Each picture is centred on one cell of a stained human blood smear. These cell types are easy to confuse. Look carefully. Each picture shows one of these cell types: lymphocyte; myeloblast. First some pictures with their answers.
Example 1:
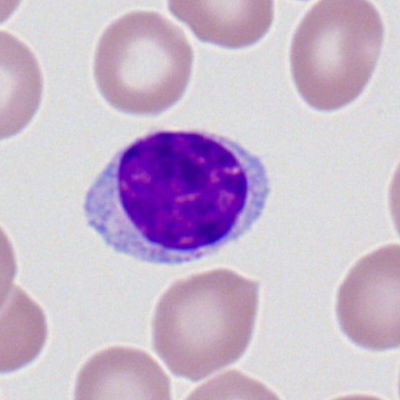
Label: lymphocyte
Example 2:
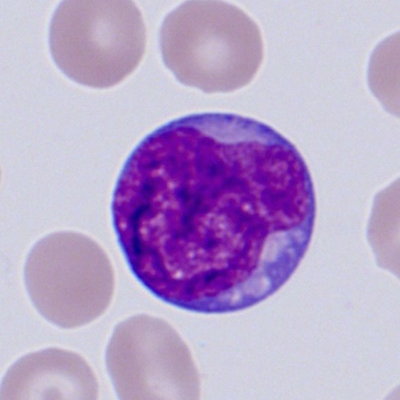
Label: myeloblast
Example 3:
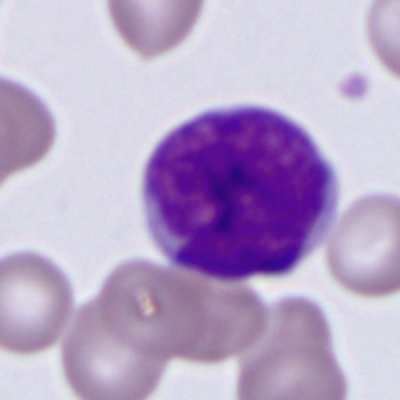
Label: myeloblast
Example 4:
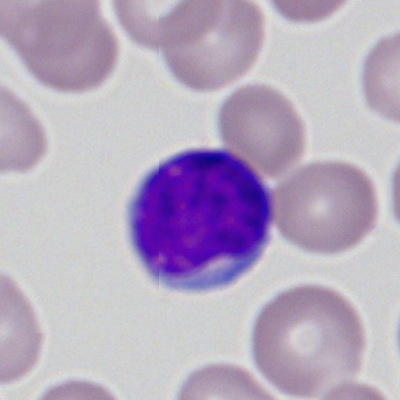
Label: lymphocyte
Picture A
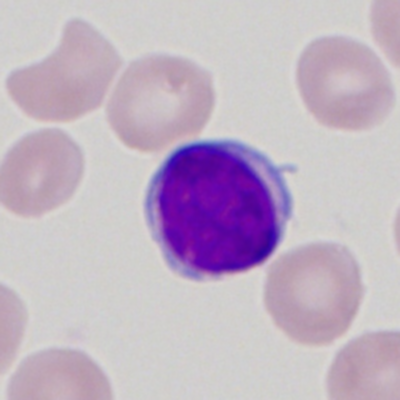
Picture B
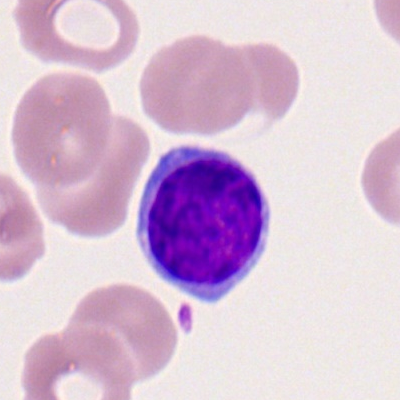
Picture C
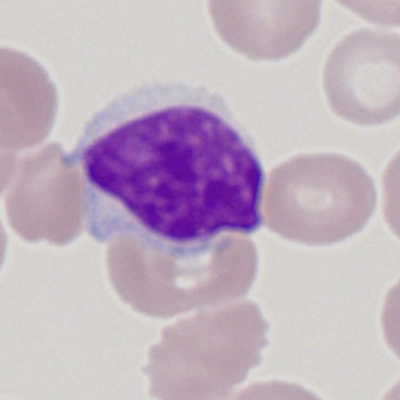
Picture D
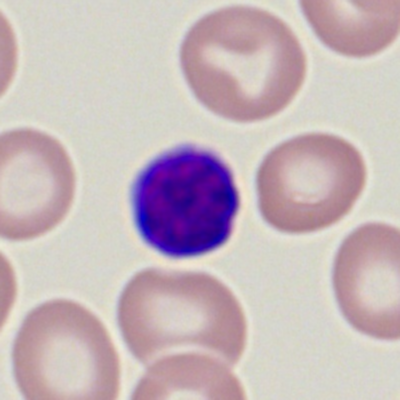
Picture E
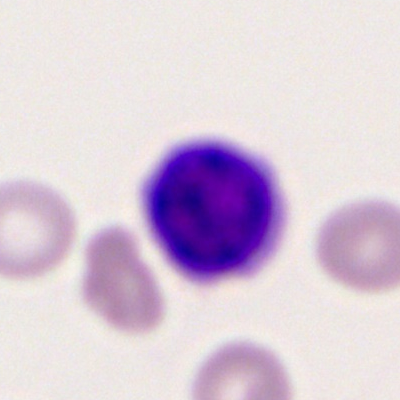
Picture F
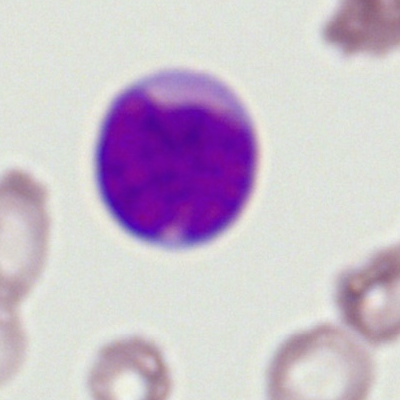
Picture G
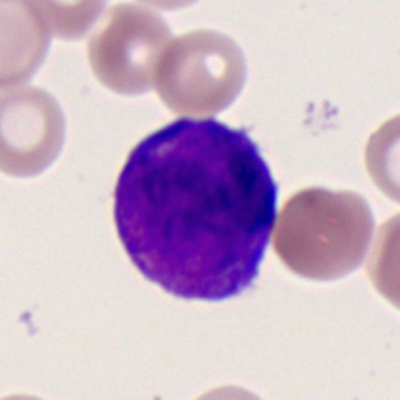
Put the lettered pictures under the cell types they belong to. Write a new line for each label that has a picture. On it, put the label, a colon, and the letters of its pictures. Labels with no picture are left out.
lymphocyte: A, B, C, D, E
myeloblast: F, G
